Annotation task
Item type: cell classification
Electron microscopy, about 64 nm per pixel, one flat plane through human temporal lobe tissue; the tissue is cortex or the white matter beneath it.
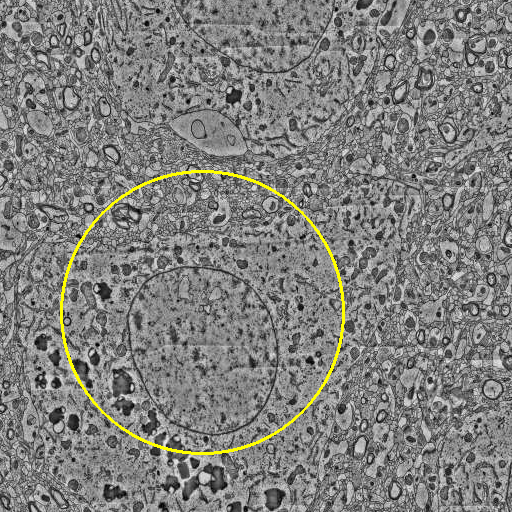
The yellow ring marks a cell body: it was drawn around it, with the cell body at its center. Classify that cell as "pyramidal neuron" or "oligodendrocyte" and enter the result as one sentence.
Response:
The ring's center falls on a pyramidal neuron.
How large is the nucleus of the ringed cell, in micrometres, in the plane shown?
In this plane the nucleus is about 11 micrometres by 9.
